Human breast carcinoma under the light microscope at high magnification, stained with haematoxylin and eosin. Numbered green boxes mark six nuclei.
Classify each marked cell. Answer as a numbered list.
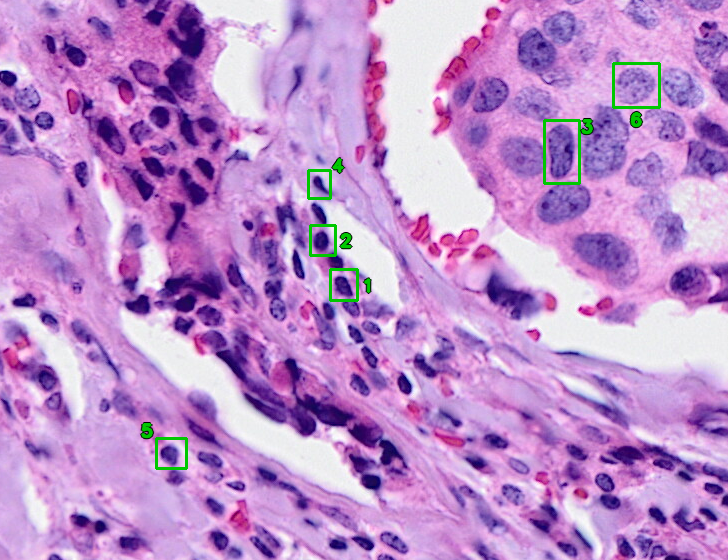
1. lymphocyte
2. lymphocyte
3. carcinoma cell
4. lymphocyte
5. lymphocyte
6. carcinoma cell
